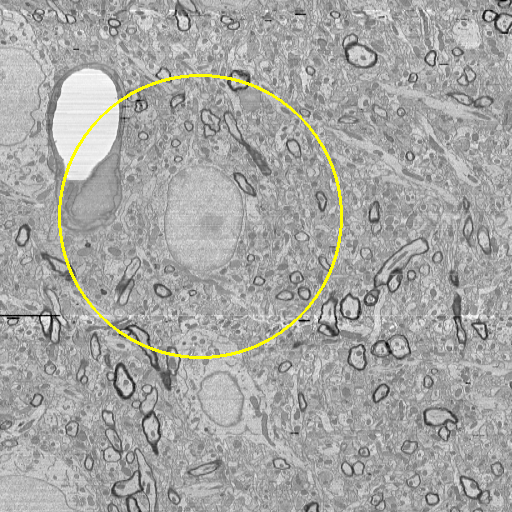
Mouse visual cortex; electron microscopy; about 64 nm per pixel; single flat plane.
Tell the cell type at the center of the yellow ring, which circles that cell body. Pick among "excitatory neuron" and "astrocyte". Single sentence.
The ring is centered on the body of an astrocyte.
